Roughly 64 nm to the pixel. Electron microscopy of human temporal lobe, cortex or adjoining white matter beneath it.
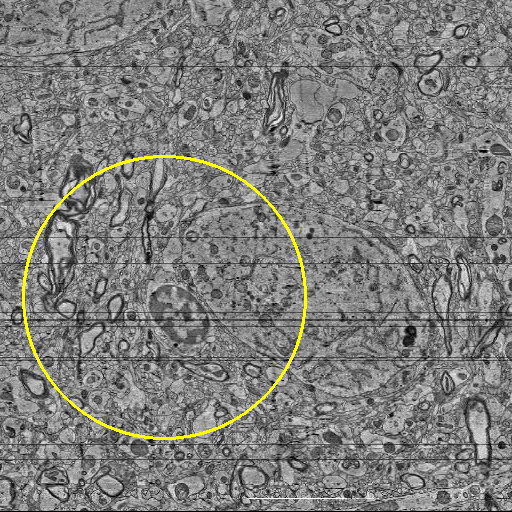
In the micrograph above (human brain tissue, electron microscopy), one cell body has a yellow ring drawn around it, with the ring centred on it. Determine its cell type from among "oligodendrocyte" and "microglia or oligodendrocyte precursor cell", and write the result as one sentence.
The cell whose body is ringed is a microglial cell or oligodendrocyte precursor cell.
